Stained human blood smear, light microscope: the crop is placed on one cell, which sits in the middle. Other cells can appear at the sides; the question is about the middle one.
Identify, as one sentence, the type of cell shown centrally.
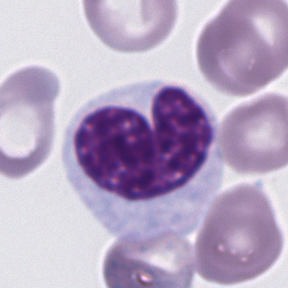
The cell centred in this crop is categorized as a band neutrophil.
